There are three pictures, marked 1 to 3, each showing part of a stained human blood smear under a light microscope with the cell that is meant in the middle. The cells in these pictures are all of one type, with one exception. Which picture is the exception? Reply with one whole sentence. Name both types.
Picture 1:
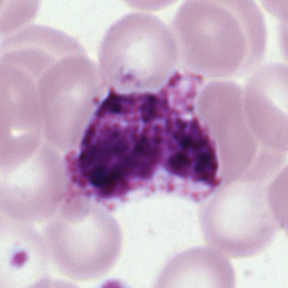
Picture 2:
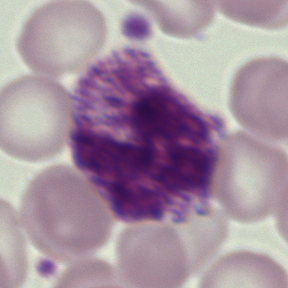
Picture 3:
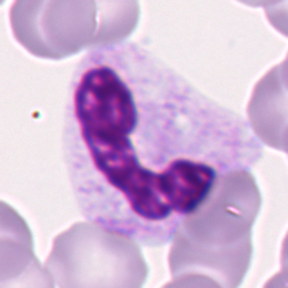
Picture 3 is the odd one out: it shows a segmented neutrophil, while the others show basophils.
